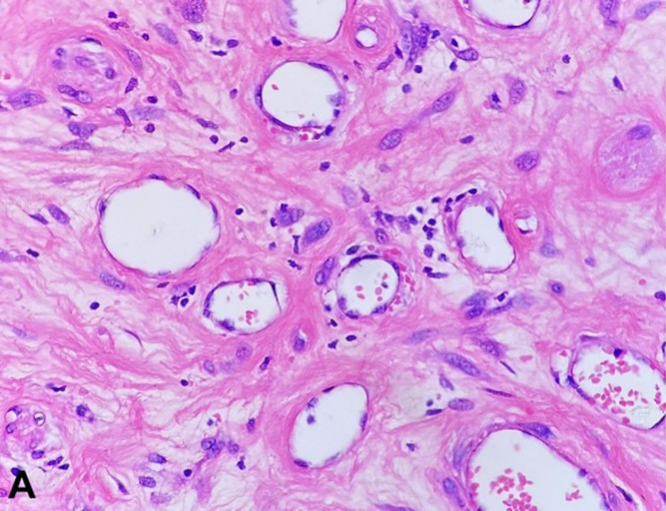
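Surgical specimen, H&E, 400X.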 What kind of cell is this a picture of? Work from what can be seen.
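Scattered cells with elongated nuclei lie in a pale pink fibrillary stroma. The nuclei vary in size and shape. Some cells have larger, plumper nuclei than their neighbours. The answer: pleomorphic spindle cells.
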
